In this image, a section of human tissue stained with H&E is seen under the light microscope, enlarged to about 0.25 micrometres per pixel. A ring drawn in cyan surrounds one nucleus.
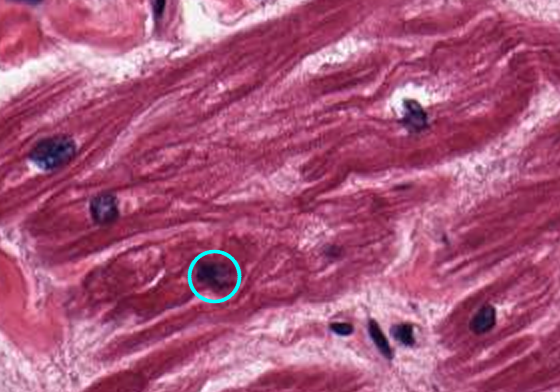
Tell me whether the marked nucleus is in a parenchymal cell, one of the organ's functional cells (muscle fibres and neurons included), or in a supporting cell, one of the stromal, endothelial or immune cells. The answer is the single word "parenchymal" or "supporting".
parenchymal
